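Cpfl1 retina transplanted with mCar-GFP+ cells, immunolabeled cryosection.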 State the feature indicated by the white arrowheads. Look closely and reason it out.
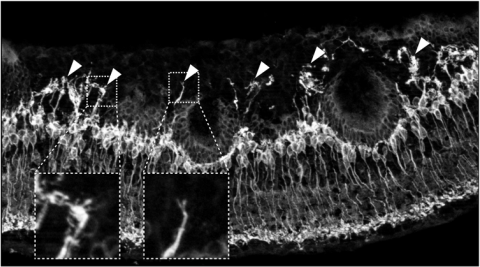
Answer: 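Fine labelled processes extend upward beyond the main layer of labelled cells at the arrowheads. Insets enlarge branching thin processes.
Answer: neurite extension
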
